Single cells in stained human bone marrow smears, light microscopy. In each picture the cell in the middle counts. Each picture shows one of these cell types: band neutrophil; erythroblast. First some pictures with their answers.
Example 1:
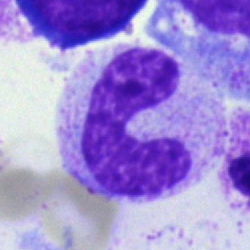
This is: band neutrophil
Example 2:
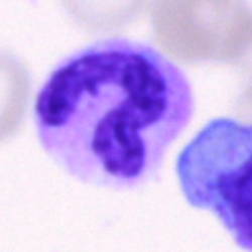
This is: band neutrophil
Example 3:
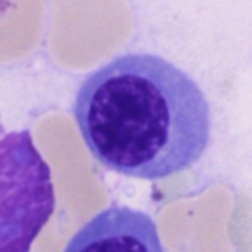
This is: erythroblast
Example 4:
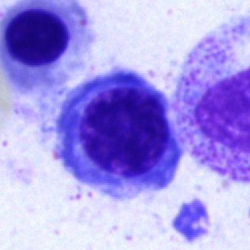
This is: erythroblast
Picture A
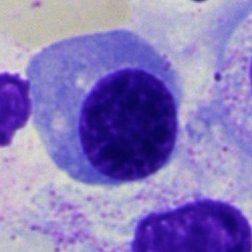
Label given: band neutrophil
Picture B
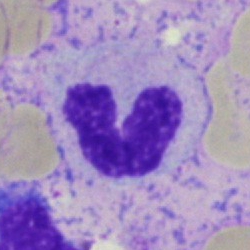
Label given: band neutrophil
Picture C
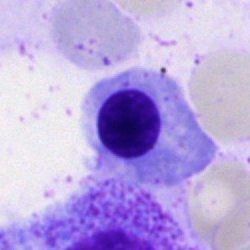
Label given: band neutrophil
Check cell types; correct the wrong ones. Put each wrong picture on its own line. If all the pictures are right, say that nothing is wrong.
A should be erythroblast, not band neutrophil
C should be erythroblast, not band neutrophil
